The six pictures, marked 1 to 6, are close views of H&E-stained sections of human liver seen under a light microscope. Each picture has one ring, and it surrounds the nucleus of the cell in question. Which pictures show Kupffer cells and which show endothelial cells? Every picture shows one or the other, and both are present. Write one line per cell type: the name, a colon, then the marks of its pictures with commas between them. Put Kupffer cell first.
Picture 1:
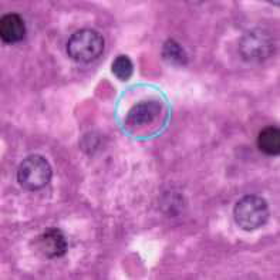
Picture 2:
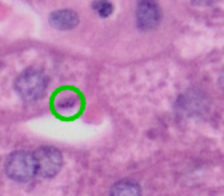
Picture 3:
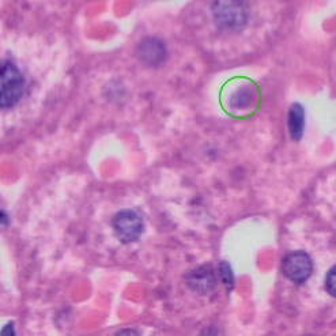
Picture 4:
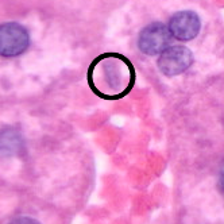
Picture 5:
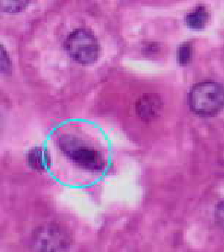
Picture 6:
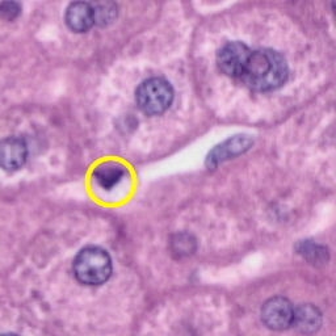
Kupffer cell: 2, 3, 4, 5
endothelial cell: 1, 6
